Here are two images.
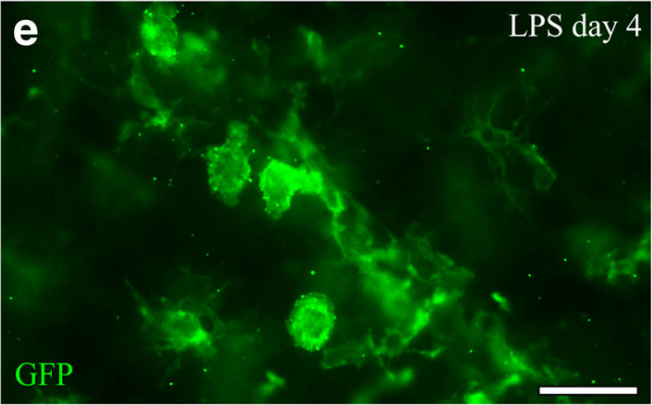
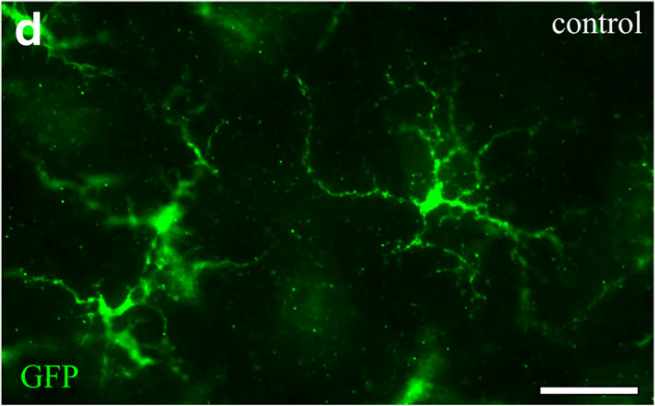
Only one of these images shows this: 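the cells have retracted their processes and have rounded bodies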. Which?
The first image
